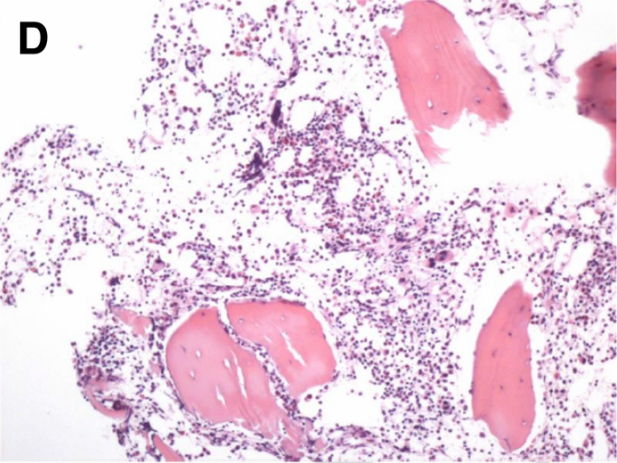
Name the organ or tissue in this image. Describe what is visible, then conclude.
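Pink bone trabeculae with small lacunae. Intertrabecular spaces hold a mixed population of blood-forming cells. Clear fat vacuoles are scattered among the cells.
Answer: bone marrow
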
